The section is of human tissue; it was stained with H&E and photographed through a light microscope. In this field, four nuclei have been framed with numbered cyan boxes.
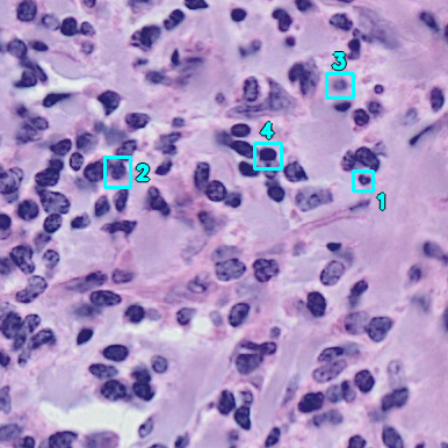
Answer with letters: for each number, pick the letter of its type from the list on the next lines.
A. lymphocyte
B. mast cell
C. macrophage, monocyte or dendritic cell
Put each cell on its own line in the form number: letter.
1: A
2: A
3: B
4: A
